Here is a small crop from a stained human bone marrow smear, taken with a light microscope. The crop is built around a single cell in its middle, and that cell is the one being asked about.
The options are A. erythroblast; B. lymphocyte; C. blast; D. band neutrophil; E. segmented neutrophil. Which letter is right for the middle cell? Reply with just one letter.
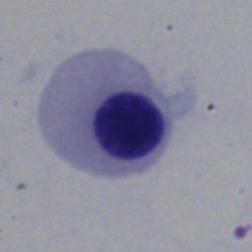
A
